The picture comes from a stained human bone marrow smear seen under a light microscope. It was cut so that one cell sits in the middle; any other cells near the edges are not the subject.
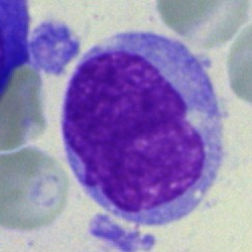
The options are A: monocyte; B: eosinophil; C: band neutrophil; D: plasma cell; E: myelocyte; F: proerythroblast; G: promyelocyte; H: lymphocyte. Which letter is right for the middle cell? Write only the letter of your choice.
A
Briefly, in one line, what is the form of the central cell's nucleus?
See how the nucleus sits as one compact round, oval or kidney-shaped mass.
